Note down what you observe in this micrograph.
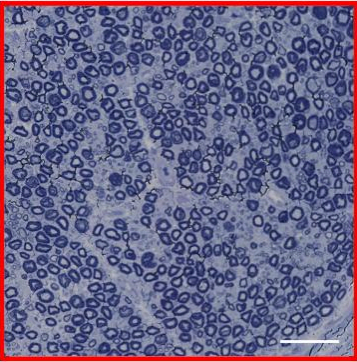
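This cross-section of a peripheral nerve shows many myelinated nerve fibres cut transversely. Each fibre appears as a dark blue ring of myelin around a pale central axon, and the rings range from large to very small. The fibres lie closely packed but separated by pale blue connective tissue, with some areas holding fewer large fibres. Several rings are irregular or crenated rather than perfectly round.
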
